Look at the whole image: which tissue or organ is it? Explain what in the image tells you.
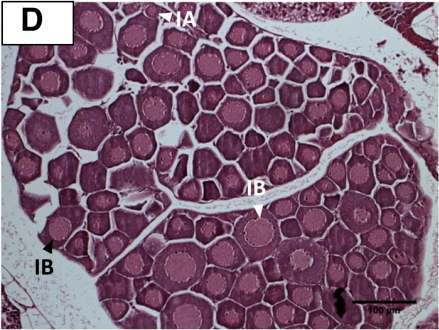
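Ovary. The gonad is packed with large round-to-polygonal cells with dense purple cytoplasm. Many of these cells have a large pale central nucleus with small nucleoli at its rim.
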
